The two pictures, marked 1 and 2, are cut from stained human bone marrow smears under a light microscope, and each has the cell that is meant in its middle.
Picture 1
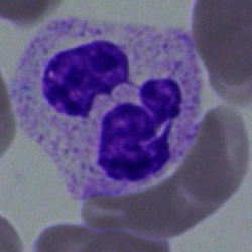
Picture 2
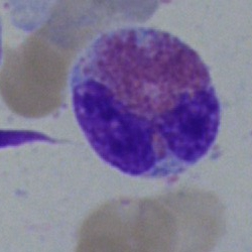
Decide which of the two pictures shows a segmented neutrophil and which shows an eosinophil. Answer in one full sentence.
Picture 1 is of a segmented neutrophil, and picture 2 is of an eosinophil.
